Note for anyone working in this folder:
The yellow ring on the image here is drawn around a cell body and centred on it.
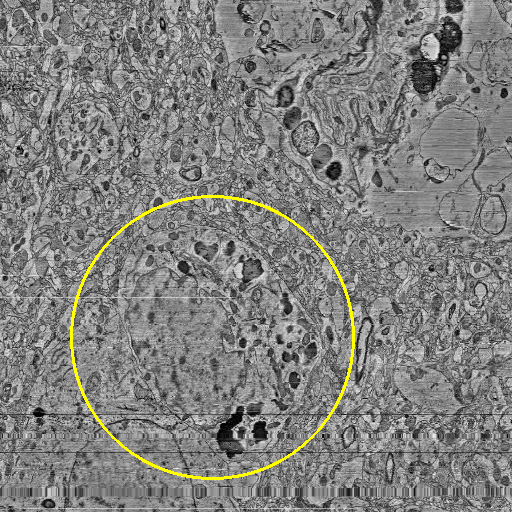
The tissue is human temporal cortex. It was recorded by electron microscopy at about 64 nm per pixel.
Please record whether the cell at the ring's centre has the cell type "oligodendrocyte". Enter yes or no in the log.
no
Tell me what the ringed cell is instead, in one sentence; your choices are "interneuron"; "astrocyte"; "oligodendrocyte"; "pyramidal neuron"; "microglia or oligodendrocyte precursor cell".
The cell circled by the yellow ring is an interneuron.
